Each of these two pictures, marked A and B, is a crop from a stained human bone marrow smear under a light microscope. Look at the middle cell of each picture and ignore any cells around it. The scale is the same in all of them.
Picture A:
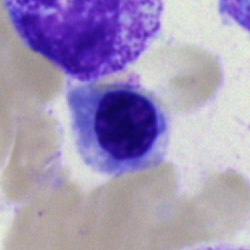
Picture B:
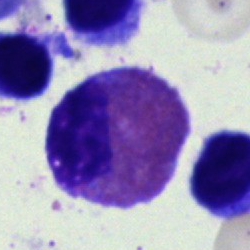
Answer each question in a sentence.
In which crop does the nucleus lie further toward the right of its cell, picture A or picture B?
Seen within its cell, the nucleus in picture A lies further toward the right.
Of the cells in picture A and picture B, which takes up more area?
The cell in picture B is larger, with about 2 times the area of the one in picture A.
